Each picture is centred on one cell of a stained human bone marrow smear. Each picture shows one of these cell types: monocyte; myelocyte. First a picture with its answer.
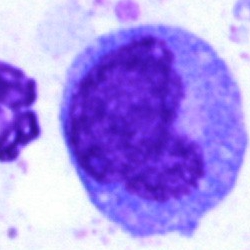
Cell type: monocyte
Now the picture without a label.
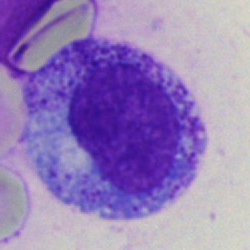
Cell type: myelocyte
